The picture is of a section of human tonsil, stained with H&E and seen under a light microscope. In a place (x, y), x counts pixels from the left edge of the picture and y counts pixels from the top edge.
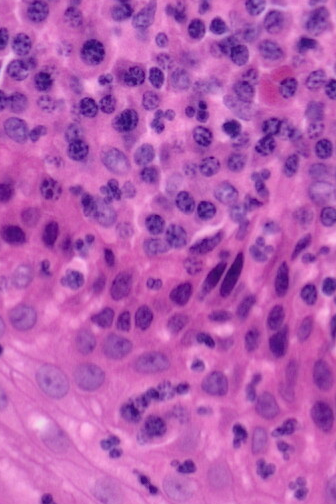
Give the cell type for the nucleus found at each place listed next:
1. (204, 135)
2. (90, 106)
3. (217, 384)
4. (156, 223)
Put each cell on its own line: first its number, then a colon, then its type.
1: plasma cell
2: plasma cell
3: squamous epithelial cell
4: plasma cell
